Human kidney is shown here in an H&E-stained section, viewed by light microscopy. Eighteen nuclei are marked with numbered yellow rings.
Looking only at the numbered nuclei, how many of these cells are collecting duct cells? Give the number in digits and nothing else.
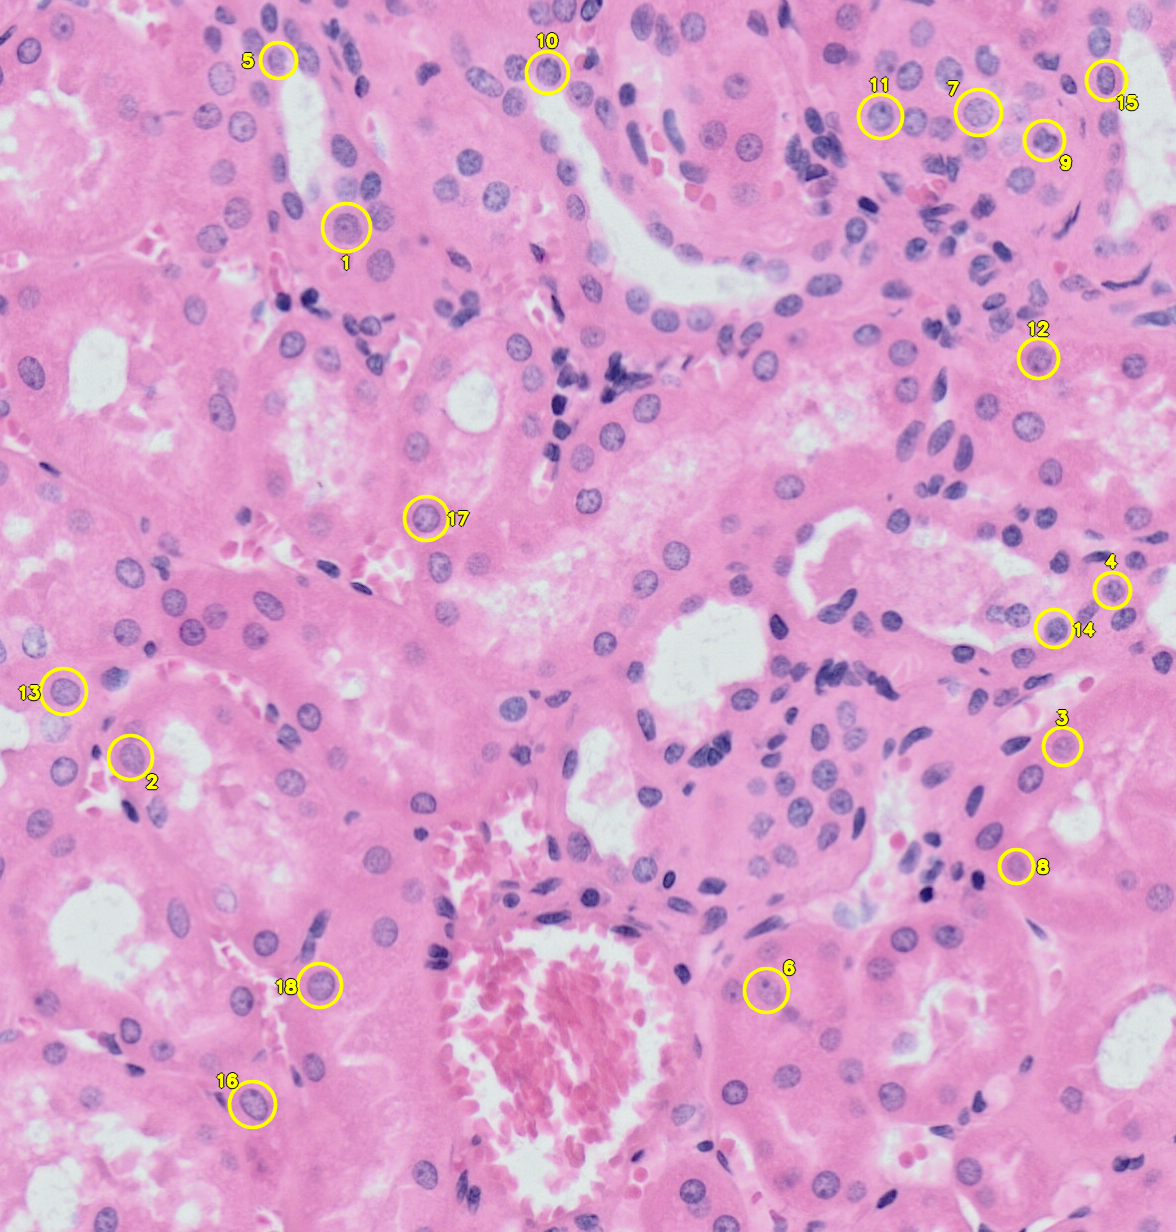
3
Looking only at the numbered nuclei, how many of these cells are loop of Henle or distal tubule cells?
6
